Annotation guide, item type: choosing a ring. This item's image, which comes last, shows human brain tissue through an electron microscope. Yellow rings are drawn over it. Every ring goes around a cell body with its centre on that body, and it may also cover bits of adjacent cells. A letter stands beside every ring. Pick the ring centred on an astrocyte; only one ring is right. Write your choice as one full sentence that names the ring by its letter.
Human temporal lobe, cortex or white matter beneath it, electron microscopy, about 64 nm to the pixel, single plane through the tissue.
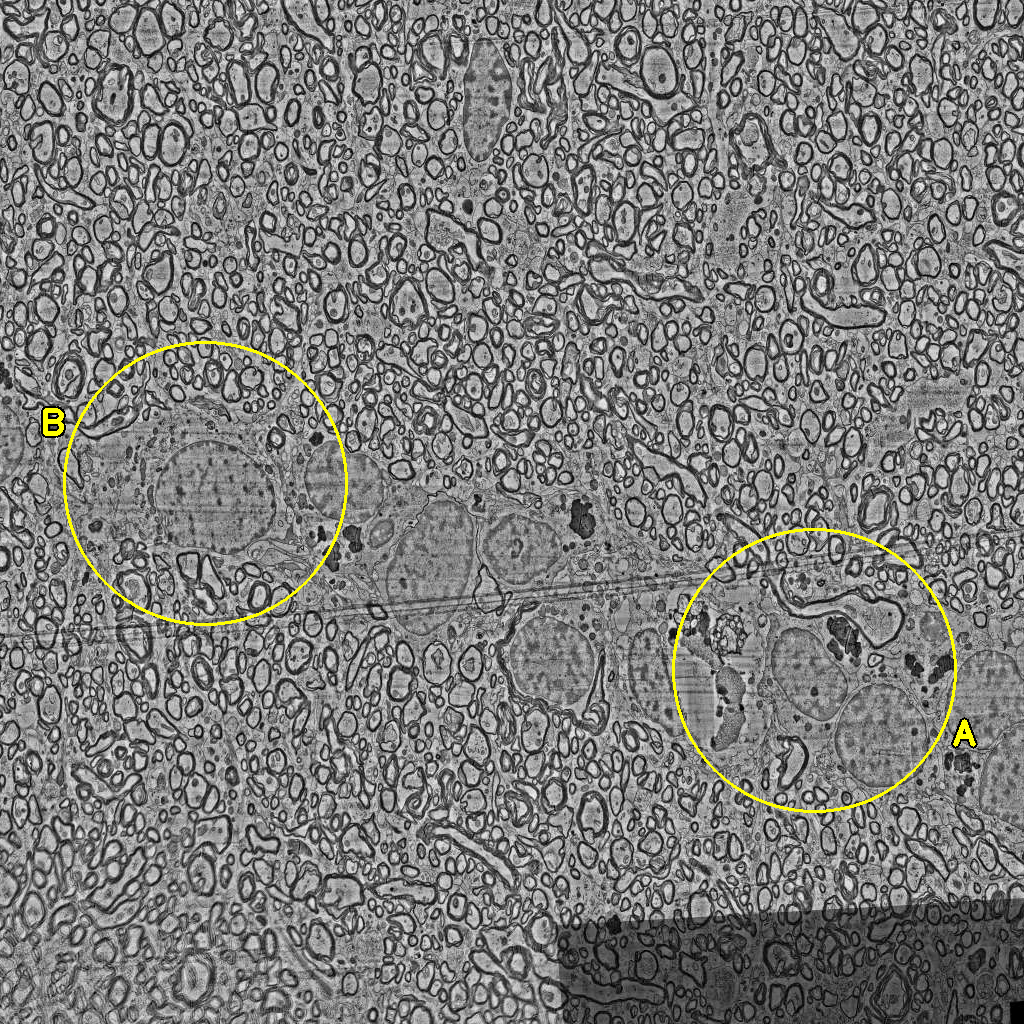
In the image, Ring B is centred on a cell of the kind requested.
